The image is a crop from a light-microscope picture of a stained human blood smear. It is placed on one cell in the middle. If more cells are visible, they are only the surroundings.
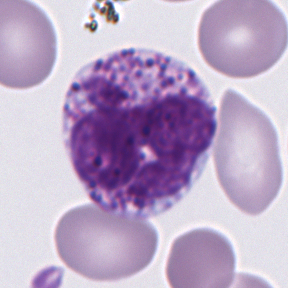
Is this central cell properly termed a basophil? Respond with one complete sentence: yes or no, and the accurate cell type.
Yes, the cell at the center of the crop is a basophil.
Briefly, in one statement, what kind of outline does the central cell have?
No surface projections are present; the cell outline is smooth.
